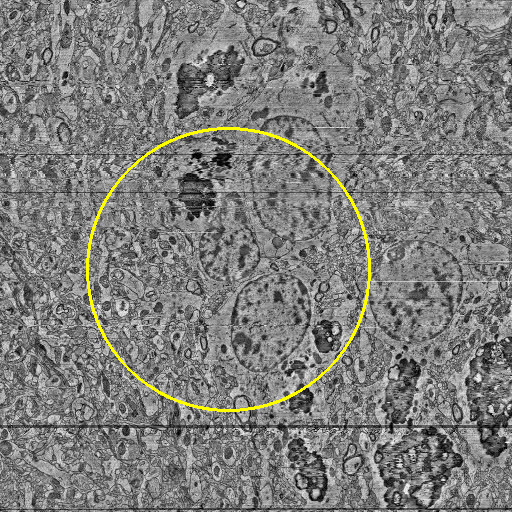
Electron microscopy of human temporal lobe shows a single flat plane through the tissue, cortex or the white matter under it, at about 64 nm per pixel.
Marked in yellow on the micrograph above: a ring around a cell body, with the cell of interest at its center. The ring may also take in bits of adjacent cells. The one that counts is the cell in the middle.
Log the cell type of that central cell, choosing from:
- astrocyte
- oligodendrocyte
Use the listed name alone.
astrocyte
